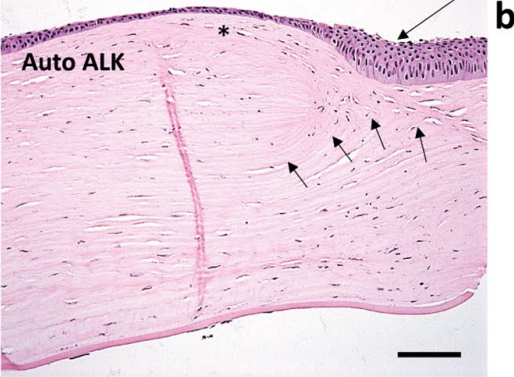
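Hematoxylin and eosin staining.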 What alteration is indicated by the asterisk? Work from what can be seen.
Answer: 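A thin epithelium. The purple surface layer near the asterisk is only a few cells thick. It thickens abruptly to the right.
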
